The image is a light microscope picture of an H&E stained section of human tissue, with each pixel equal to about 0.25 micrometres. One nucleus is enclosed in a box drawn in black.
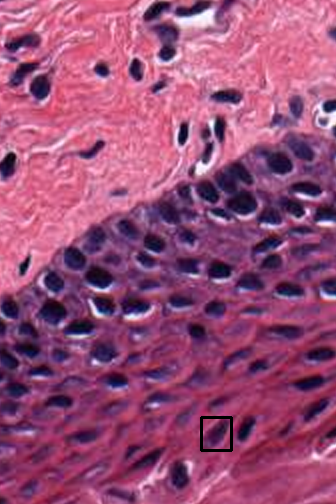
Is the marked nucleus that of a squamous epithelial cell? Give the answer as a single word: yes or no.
yes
